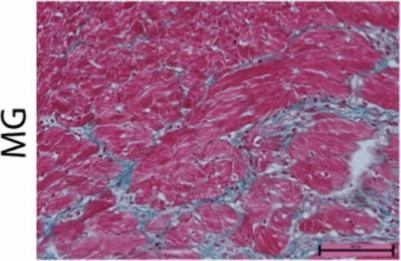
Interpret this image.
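Heart muscle in which red-stained cardiac muscle fibres are grouped in bundles cut in different planes, some lengthwise and some across. Between the bundles run irregular bands of blue-green stained connective tissue that encircle and separate groups of fibres, with small dark nuclei scattered along them.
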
